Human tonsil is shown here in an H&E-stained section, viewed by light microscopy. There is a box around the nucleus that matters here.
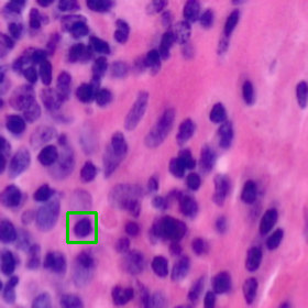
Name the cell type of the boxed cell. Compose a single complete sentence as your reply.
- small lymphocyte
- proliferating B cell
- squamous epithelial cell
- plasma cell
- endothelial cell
By cell type, the boxed cell is an endothelial cell.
